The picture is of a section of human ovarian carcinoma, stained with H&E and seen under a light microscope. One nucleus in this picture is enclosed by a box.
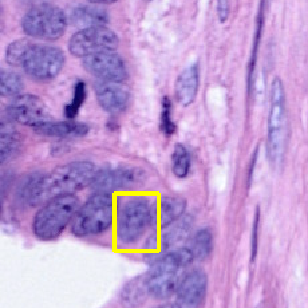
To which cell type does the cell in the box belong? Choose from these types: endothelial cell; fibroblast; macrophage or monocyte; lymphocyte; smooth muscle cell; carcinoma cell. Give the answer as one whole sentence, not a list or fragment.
The category to which the cell in the box belongs is that of a carcinoma cell.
